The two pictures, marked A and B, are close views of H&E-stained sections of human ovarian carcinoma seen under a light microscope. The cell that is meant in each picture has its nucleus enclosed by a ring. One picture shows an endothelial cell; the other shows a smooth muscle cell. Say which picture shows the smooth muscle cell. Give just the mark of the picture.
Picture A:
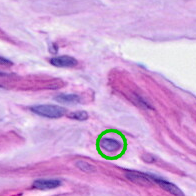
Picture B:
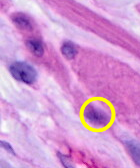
B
